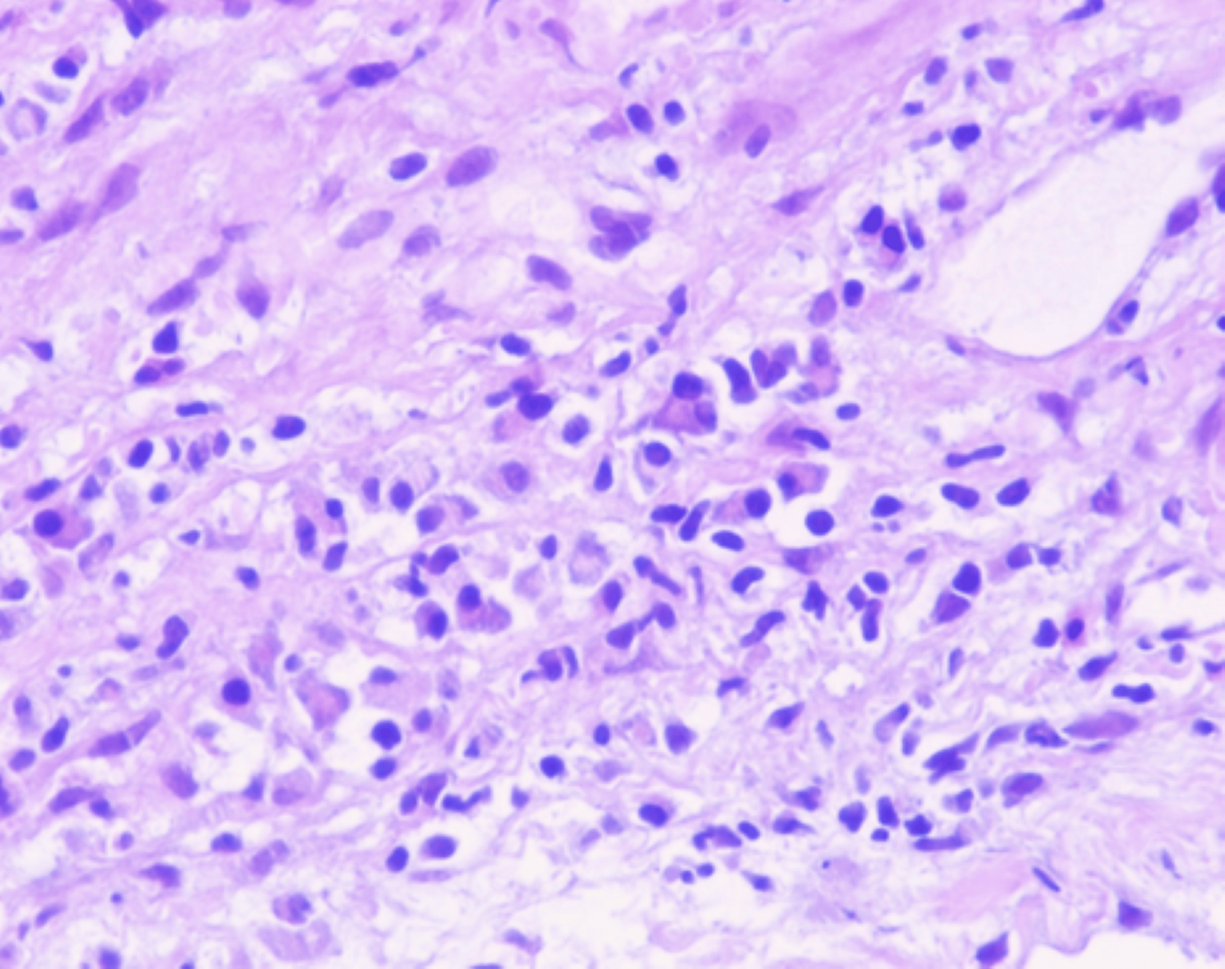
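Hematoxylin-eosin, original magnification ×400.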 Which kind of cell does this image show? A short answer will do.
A: Plasma cell aggregates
